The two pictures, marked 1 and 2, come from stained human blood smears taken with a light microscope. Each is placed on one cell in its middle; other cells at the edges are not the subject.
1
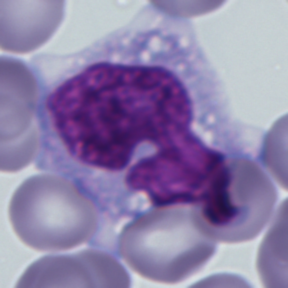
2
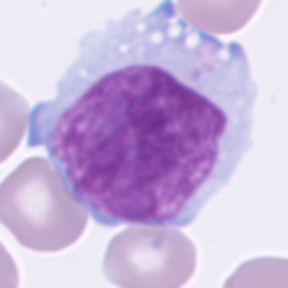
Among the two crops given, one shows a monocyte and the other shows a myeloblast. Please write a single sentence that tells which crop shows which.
Displayed in crop 1 is a monocyte, while crop 2 displays a myeloblast.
